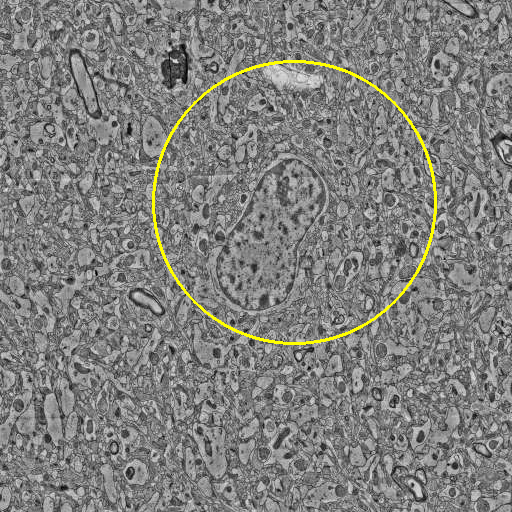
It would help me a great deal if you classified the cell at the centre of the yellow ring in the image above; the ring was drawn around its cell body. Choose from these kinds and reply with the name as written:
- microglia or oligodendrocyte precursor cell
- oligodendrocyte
microglia or oligodendrocyte precursor cell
